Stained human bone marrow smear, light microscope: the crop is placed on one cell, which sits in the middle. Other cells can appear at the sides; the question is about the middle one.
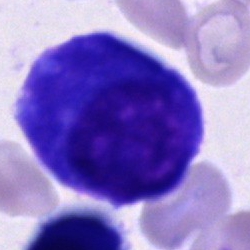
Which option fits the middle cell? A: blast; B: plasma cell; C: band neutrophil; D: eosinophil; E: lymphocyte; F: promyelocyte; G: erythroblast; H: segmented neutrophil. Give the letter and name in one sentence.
Identified correctly by option B, the cell in the middle is a plasma cell.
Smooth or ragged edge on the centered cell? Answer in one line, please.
The outline traces a smooth curve with no projections along it.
